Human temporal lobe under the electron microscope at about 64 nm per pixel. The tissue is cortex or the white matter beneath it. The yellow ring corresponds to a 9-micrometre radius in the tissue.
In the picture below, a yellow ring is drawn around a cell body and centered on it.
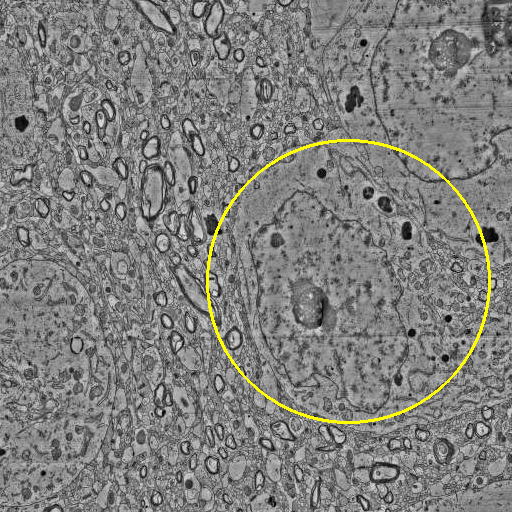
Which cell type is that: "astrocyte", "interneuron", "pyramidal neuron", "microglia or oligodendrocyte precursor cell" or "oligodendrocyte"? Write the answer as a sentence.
The cell centered in the ring is a pyramidal neuron.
